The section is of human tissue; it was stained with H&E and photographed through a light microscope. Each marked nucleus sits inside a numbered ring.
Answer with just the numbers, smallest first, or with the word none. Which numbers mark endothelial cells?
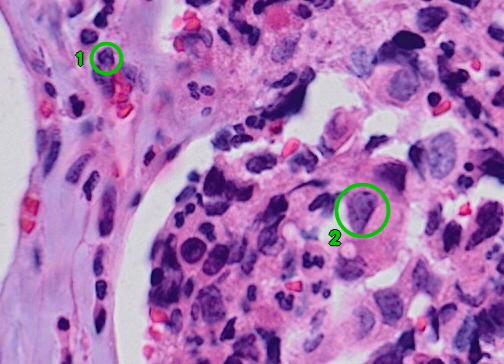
1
